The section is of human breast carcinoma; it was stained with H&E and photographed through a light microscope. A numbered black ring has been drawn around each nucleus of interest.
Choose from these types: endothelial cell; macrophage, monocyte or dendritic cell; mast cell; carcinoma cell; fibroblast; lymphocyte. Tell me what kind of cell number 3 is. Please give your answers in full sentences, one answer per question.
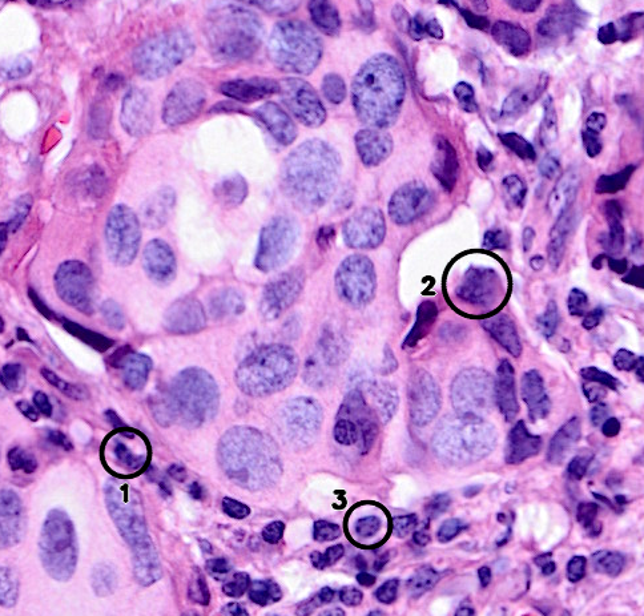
The expected answer is that cell 3 is a lymphocyte.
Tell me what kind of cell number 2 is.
The cell that carries the label 2 is a carcinoma cell.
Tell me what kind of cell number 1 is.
The marked cell bearing number 1 is a lymphocyte.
